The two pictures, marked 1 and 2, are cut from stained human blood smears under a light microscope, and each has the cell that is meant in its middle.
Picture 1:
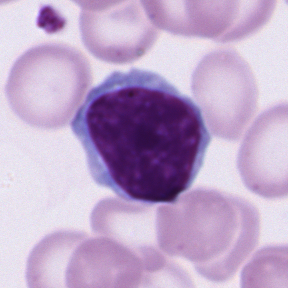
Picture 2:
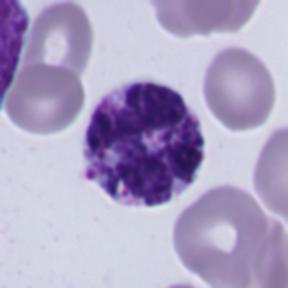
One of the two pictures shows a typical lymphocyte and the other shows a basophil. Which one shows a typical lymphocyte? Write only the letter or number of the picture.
1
